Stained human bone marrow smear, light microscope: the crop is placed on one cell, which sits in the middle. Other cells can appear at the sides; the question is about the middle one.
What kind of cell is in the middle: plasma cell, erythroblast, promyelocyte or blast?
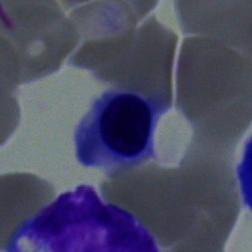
erythroblast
